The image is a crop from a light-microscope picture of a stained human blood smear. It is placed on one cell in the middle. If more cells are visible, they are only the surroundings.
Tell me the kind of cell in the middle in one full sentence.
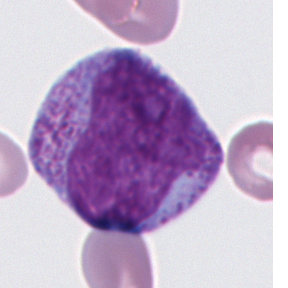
The centered cell in this crop is an atypical promyelocyte.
